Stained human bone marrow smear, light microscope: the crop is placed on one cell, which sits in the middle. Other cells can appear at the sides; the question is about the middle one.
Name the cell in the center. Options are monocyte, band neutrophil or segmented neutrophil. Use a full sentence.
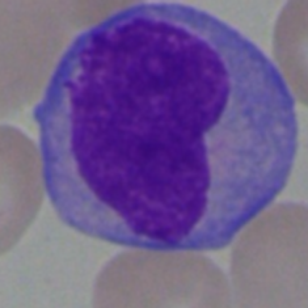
The cell occupying the middle of the crop is a monocyte.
